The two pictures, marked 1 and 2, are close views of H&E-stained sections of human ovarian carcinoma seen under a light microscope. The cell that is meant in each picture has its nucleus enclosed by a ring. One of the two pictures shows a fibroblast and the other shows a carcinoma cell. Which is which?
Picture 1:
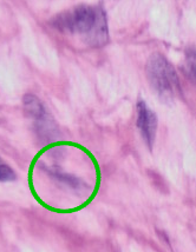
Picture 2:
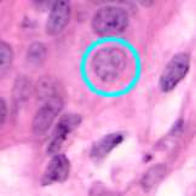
1: fibroblast
2: carcinoma cell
